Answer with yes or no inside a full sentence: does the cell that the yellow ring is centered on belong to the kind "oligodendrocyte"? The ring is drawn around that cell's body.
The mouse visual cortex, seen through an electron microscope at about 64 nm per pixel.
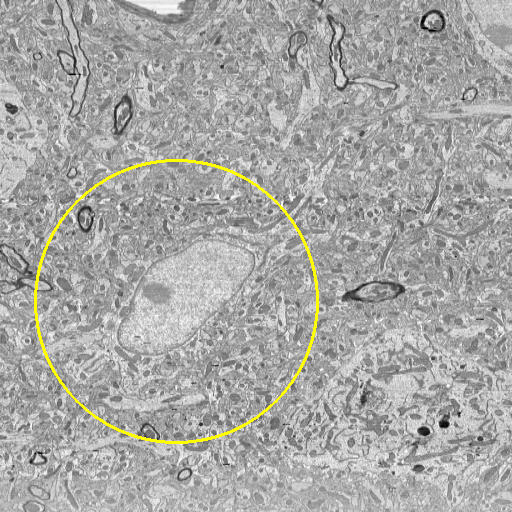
No, another kind describes the cell the yellow ring is centered on in the picture.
